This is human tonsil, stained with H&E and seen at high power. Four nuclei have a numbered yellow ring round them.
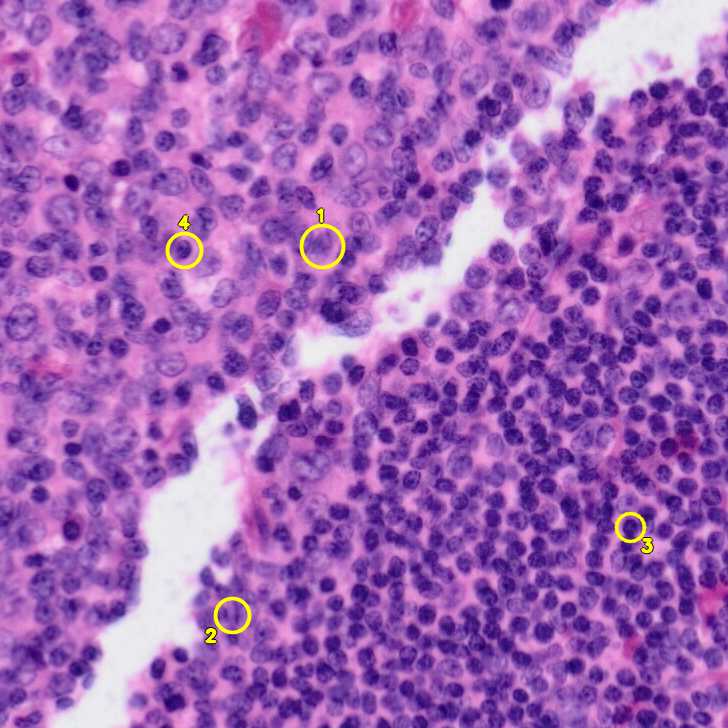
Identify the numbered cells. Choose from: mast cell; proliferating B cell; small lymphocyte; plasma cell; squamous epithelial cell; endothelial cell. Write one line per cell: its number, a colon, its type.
1: proliferating B cell
2: proliferating B cell
3: small lymphocyte
4: proliferating B cell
